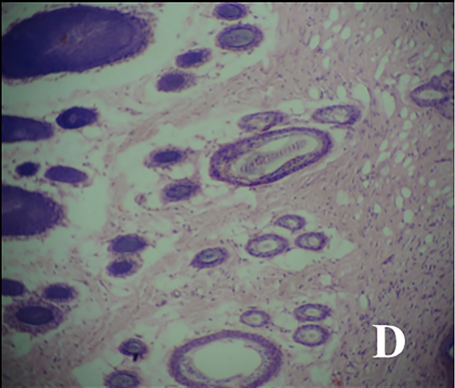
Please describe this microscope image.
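Round and oval epithelial structures of varied sizes, stained deep purple, are scattered through pale pink connective tissue; the largest on the left are solid dark bulbs, while others are rings of epithelial cells around a central lumen or hair shaft. Toward the right the connective tissue holds many small dark nuclei scattered among the fibres, and clear round spaces like fat cells lie at the upper right.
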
